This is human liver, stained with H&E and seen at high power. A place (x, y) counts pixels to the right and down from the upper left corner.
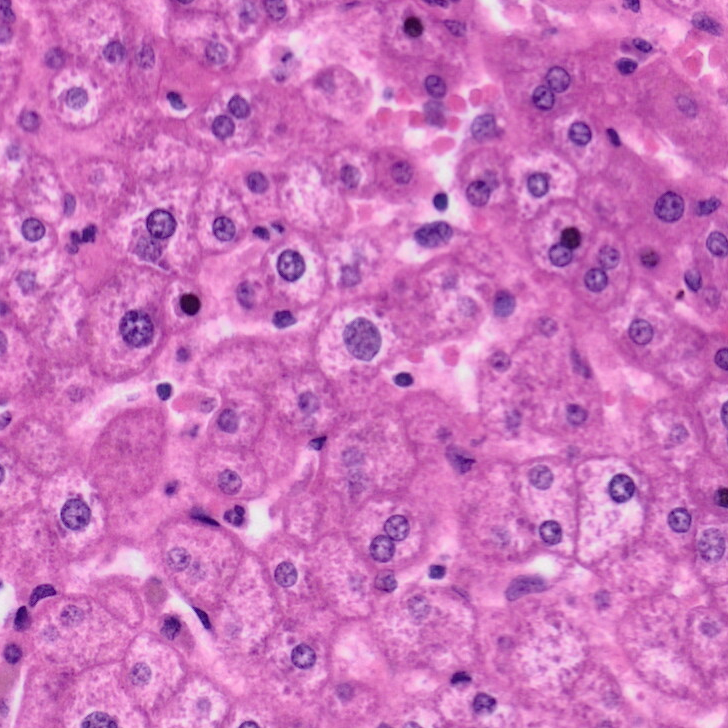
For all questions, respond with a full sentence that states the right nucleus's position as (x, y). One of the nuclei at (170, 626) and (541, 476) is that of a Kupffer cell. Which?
Of the two nuclei present, the one at (170, 626) is within a Kupffer cell.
